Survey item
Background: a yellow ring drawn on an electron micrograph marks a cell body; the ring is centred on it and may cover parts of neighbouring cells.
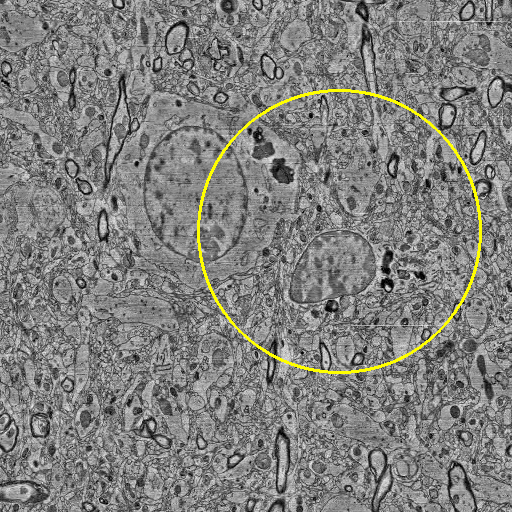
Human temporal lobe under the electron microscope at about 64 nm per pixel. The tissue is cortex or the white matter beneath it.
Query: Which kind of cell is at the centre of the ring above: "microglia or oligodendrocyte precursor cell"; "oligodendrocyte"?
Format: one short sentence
The cell in the middle of the ring is a microglial cell or oligodendrocyte precursor cell.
